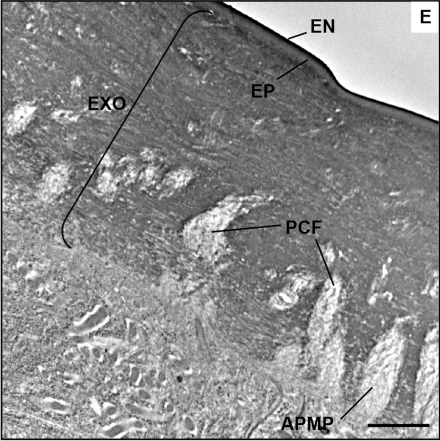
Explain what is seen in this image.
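The cuticle again has a thin dark envelope and epicuticle on its surface, with an exocuticle beneath. Unlike a regular cuticle, the laminae of the exocuticle are blurred and disordered, and no long, orderly vertical fibers cross them. Pore canal fibers appear as short, pale, irregular patches, and pale apical plasma membrane protrusions rise from the base in swollen, uneven shapes. The lower part of the section is a loose, granular, disorganized matrix.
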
